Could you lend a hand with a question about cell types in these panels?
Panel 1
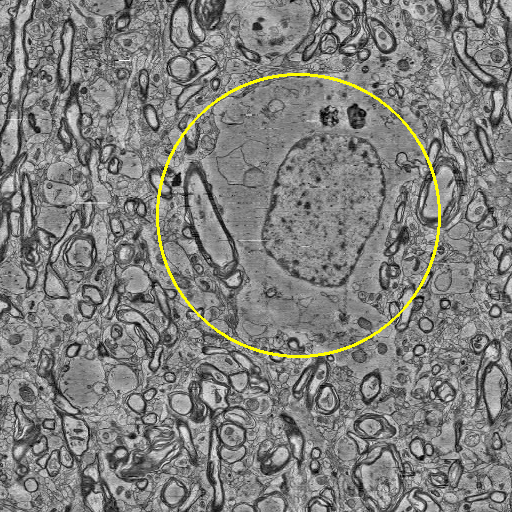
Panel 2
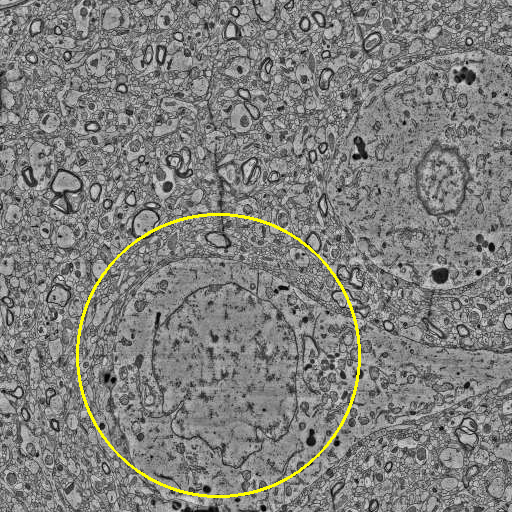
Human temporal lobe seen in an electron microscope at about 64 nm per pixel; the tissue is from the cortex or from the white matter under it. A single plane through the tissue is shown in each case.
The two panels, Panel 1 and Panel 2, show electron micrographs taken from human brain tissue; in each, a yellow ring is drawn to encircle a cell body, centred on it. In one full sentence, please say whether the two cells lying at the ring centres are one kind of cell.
No, the cells at the ring centres in the two panels are two kinds of cell.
